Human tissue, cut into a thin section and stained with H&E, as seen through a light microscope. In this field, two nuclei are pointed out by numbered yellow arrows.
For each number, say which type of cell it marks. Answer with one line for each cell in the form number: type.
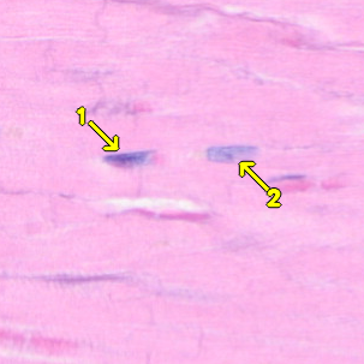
1: endothelial cell
2: cardiomyocyte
